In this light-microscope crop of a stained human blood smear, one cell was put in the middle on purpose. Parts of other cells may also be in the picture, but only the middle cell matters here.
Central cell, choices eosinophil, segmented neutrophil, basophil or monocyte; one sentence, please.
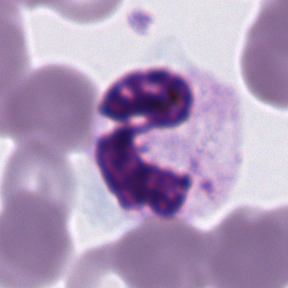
The cell at the middle of the frame should be recorded as a segmented neutrophil.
